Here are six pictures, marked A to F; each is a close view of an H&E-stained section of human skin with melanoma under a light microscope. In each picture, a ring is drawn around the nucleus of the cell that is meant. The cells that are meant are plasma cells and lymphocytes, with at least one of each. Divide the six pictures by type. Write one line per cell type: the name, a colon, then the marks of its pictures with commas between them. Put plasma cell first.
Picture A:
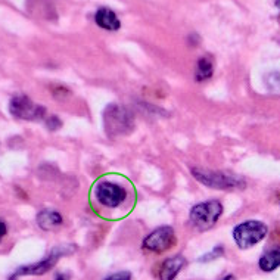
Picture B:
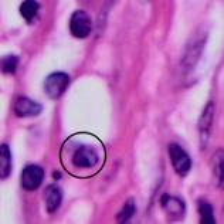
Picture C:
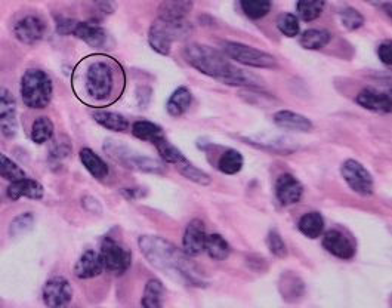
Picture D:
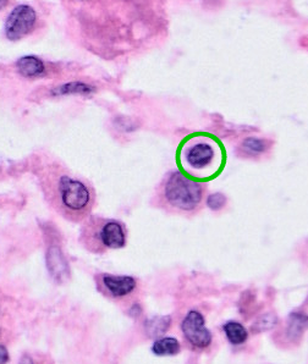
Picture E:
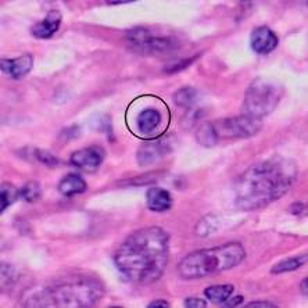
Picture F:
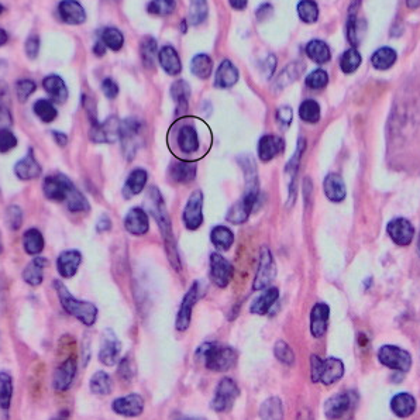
plasma cell: A, C, F
lymphocyte: B, D, E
